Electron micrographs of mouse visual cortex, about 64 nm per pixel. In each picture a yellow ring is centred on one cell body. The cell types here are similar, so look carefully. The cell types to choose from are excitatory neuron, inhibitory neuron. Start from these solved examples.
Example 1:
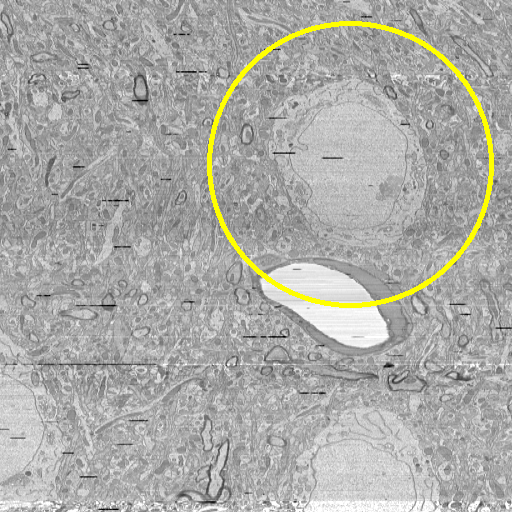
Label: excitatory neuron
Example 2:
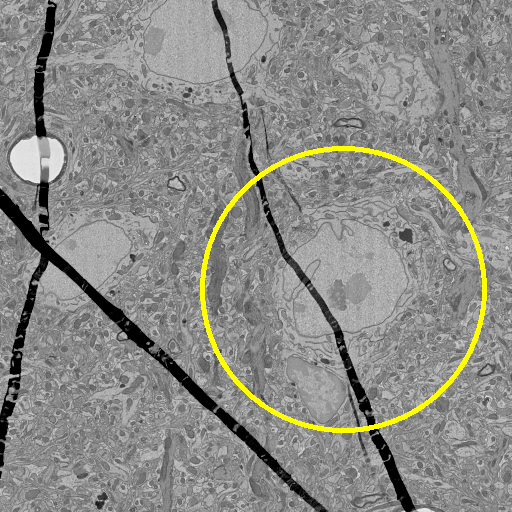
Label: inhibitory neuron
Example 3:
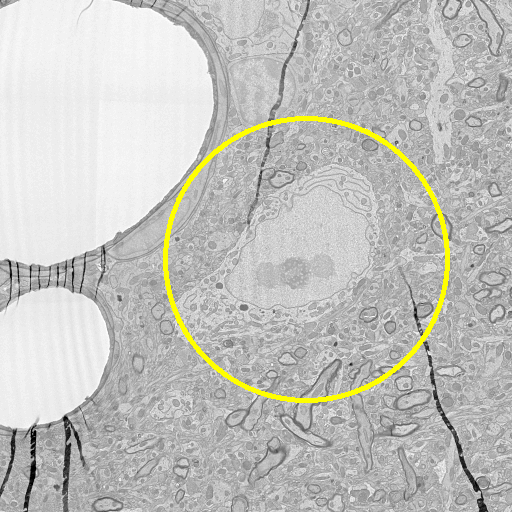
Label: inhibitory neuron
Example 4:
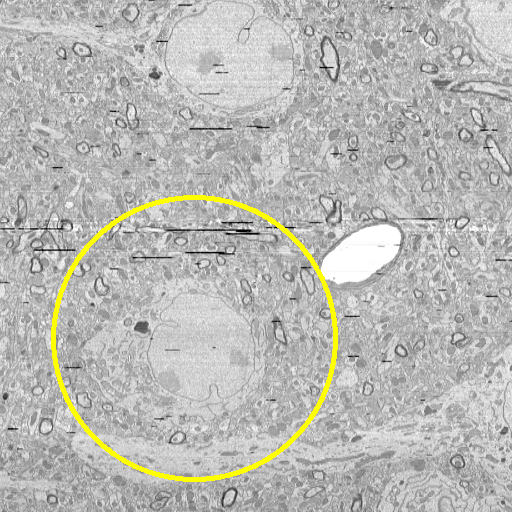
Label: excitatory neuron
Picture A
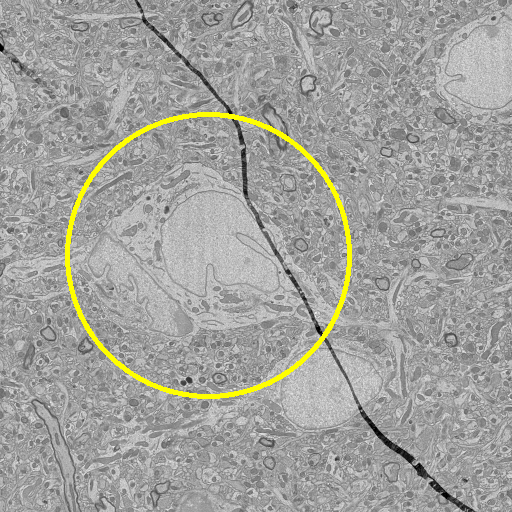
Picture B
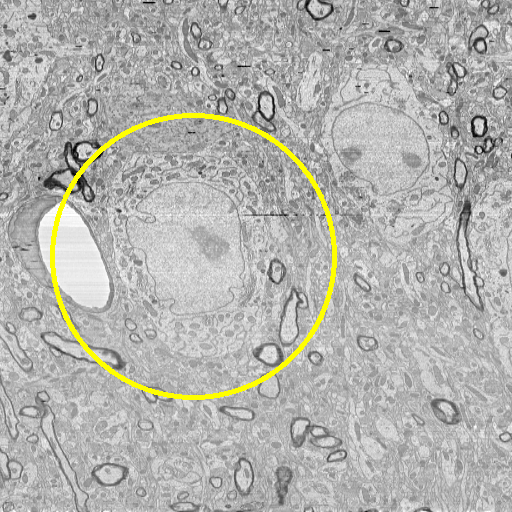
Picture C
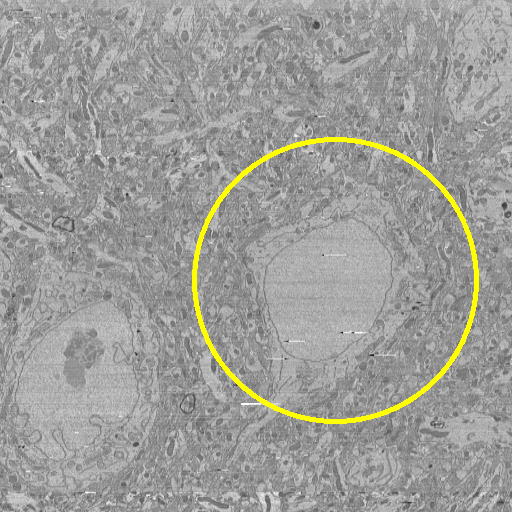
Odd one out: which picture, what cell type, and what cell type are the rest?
Different: B, inhibitory neuron. Others: excitatory neuron.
